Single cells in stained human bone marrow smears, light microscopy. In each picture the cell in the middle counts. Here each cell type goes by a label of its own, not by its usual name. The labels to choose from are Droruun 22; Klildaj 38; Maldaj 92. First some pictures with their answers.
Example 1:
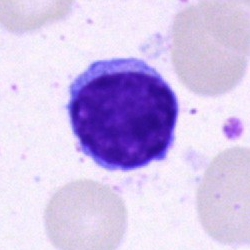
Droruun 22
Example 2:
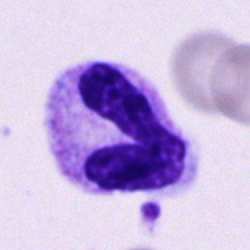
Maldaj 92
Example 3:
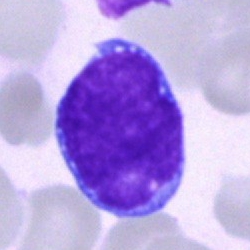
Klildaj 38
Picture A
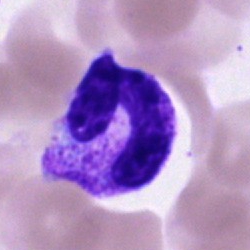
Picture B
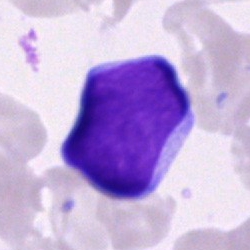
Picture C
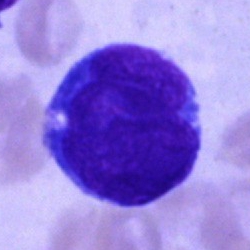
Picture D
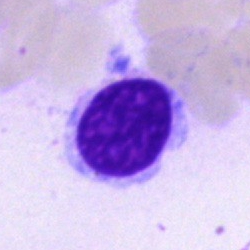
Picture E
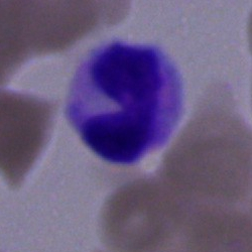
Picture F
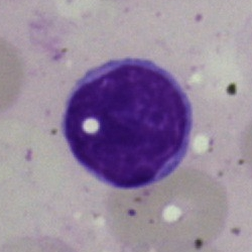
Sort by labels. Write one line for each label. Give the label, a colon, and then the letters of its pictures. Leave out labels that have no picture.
Droruun 22: D, F
Klildaj 38: B, C
Maldaj 92: A, E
